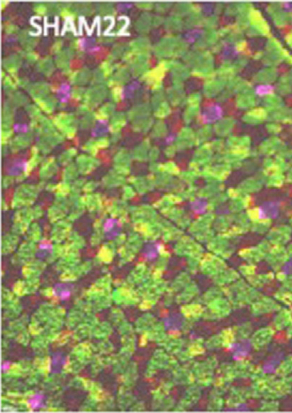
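A cross-section of skeletal muscle shows tightly packed, polygonal muscle fibers forming a colour mosaic. Most fibers are green, with scattered dark red fibers and fewer purple fibers dispersed among them. A thin dark connective-tissue septum runs diagonally across the upper right of the field.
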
